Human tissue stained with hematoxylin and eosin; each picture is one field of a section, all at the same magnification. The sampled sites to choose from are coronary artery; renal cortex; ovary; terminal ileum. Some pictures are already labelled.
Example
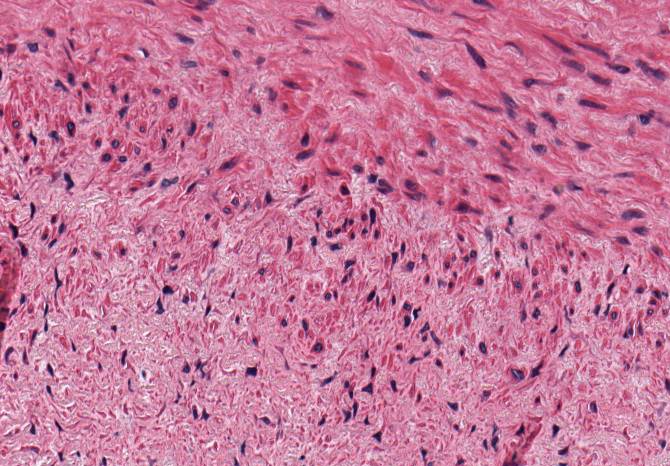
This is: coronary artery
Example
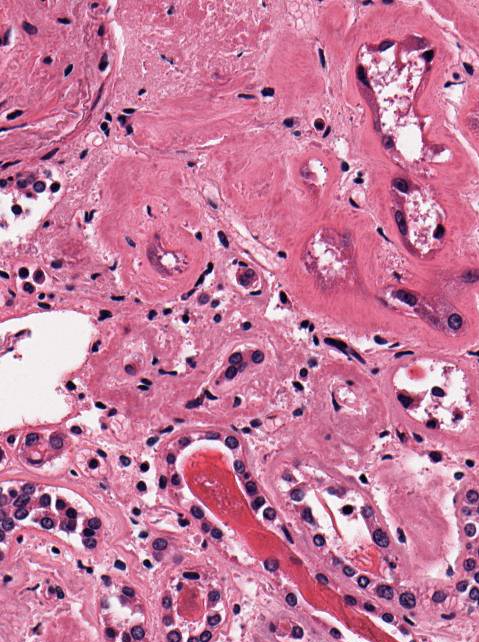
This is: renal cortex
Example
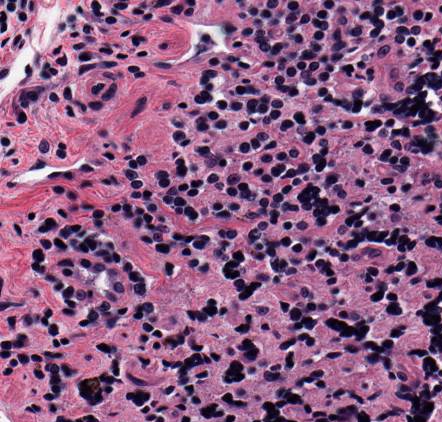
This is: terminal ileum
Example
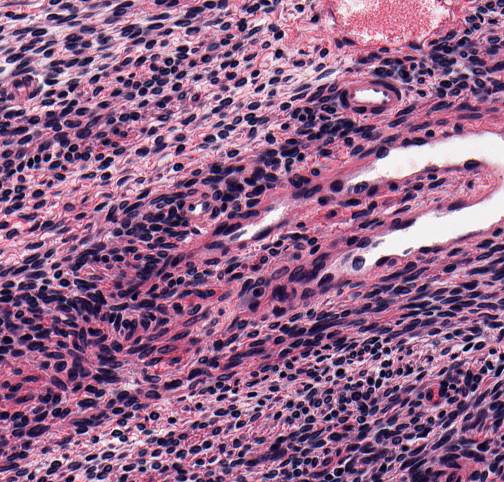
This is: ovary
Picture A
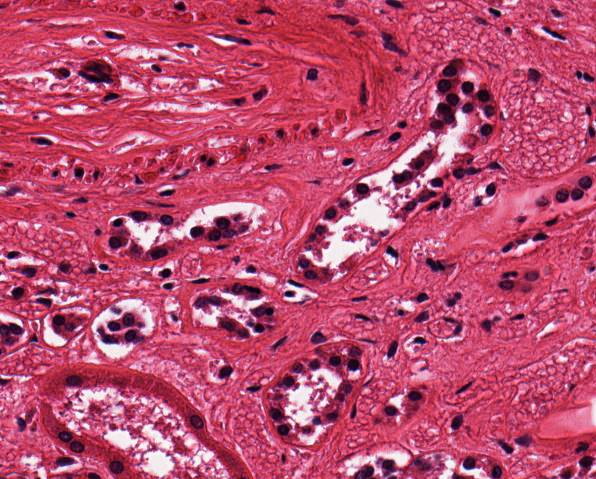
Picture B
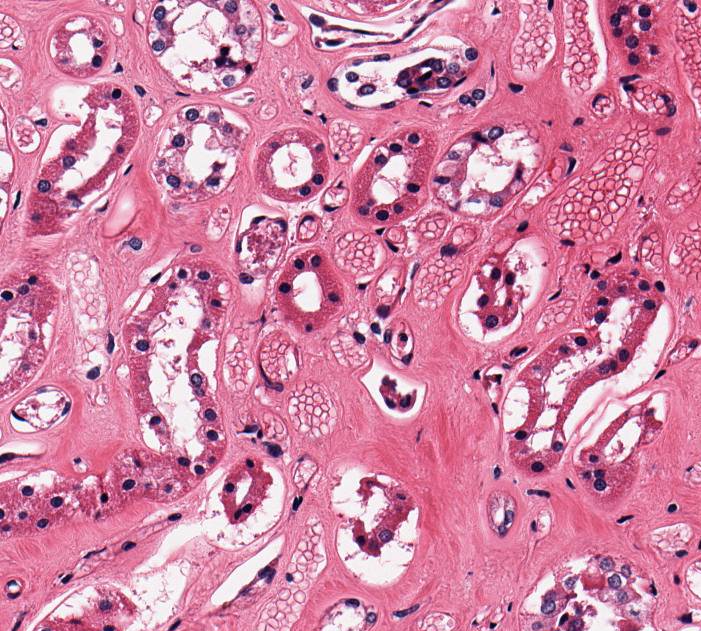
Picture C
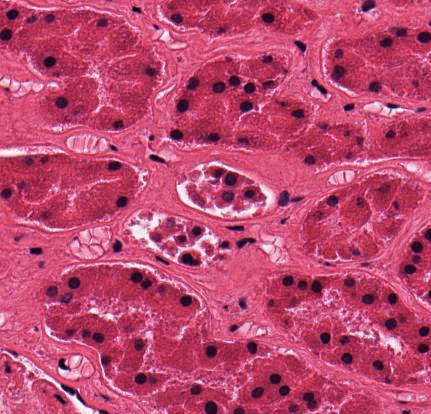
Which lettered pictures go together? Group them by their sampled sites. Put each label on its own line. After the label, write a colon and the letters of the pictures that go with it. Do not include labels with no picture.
renal cortex: A, B, C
